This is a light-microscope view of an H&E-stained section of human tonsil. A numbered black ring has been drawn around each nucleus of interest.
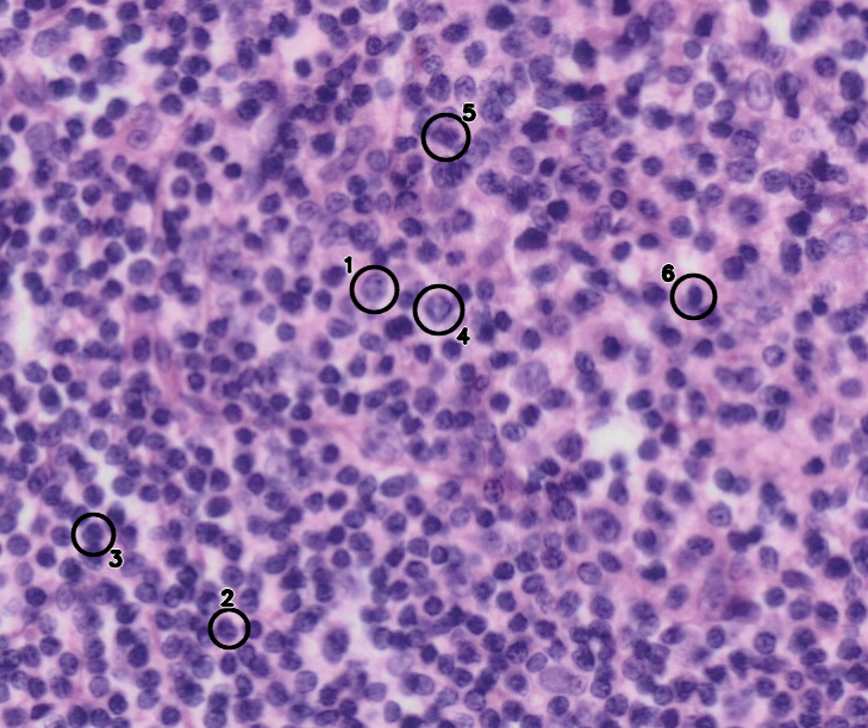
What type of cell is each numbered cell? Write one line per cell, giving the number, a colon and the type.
1: proliferating B cell
2: small lymphocyte
3: small lymphocyte
4: proliferating B cell
5: proliferating B cell
6: proliferating B cell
